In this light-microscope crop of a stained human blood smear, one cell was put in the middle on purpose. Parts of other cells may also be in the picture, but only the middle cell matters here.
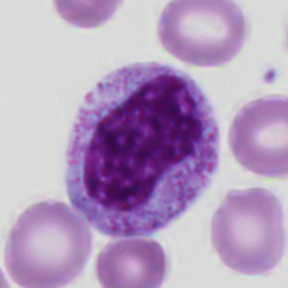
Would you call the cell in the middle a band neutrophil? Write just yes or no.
no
